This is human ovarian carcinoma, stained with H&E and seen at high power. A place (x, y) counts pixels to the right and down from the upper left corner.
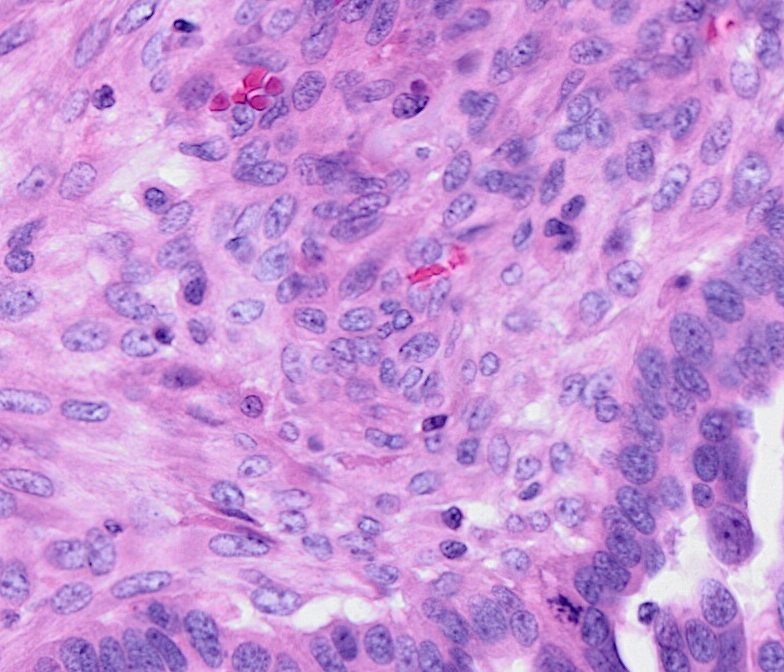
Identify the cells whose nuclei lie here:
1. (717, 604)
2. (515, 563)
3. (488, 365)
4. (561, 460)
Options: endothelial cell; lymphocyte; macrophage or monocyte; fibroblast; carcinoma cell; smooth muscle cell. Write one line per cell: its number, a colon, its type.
1: carcinoma cell
2: fibroblast
3: fibroblast
4: fibroblast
